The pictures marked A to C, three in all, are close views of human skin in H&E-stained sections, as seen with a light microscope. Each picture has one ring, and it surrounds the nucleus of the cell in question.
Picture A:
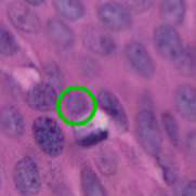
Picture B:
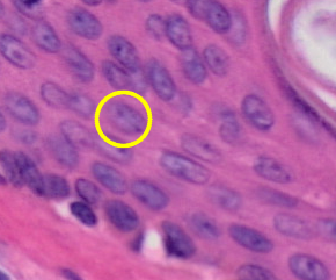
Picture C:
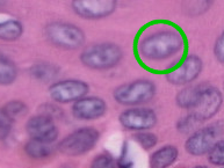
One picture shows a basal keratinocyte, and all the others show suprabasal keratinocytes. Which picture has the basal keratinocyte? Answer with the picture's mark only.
A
